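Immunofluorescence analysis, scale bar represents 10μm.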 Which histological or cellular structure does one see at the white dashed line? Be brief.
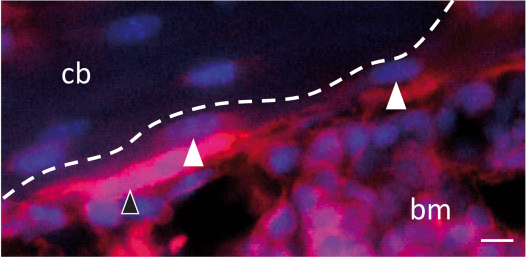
bone surface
